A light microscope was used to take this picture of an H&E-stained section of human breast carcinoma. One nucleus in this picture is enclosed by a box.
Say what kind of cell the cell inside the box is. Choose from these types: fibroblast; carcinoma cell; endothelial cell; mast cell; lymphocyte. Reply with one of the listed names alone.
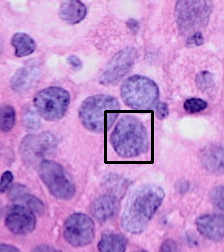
carcinoma cell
